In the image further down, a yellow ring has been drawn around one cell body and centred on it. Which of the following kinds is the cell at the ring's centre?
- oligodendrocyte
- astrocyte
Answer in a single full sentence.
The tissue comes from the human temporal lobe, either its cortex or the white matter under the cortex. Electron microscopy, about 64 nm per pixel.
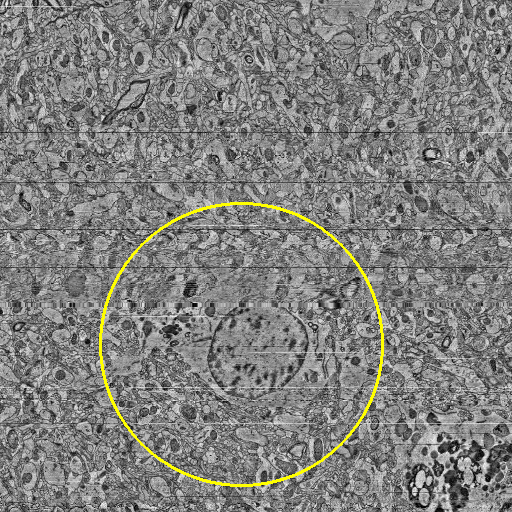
In the picture, the cell sitting at the centre of the yellow ring is an astrocyte.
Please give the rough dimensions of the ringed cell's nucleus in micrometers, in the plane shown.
The nucleus measures about 6 micrometers across in this plane.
